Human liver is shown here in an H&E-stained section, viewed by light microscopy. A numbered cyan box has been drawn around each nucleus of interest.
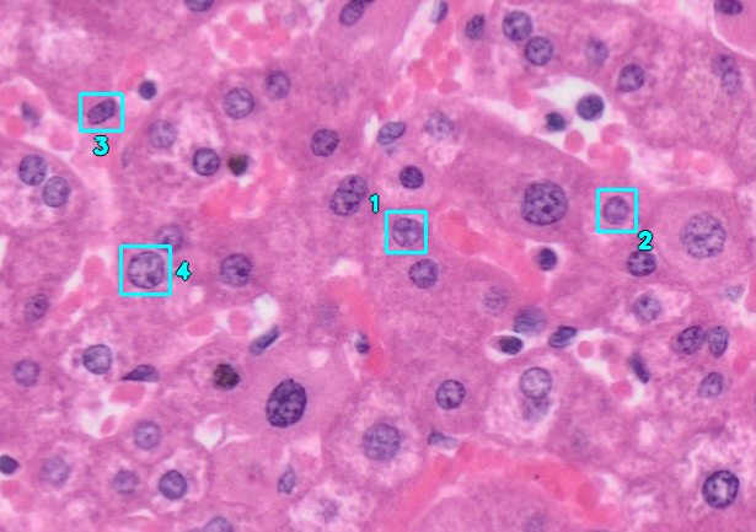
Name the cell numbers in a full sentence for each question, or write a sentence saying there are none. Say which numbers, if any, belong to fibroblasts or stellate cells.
Cell 3 is a fibroblast or stellate cell; the remaining numbered cells are not.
